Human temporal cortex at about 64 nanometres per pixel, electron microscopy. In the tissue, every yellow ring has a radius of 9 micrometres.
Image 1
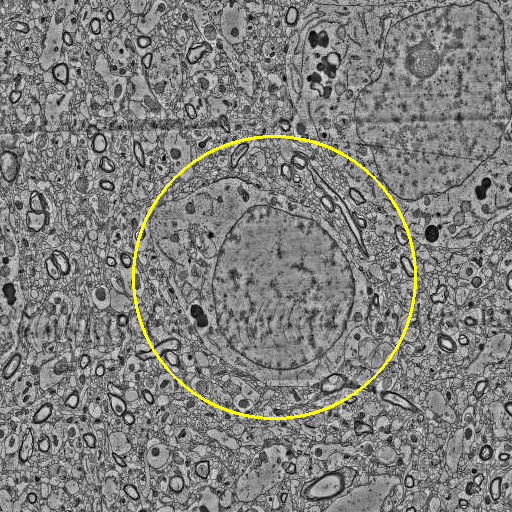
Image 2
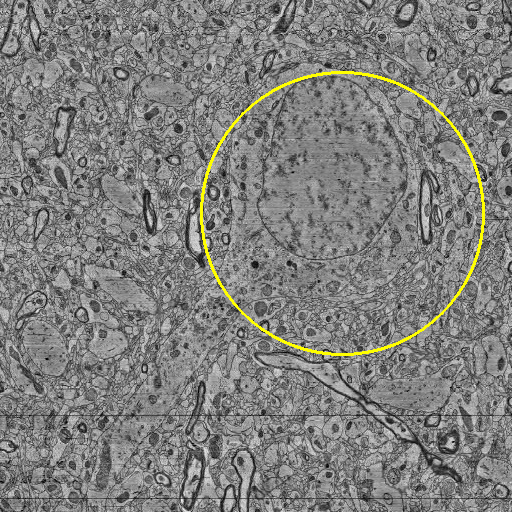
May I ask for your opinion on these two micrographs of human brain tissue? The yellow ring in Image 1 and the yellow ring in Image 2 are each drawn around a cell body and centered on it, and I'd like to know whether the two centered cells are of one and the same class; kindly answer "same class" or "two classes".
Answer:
same class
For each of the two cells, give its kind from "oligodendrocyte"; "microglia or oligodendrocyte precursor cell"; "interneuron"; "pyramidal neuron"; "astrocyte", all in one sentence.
Each cell, in the first picture and the second, is a pyramidal neuron.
